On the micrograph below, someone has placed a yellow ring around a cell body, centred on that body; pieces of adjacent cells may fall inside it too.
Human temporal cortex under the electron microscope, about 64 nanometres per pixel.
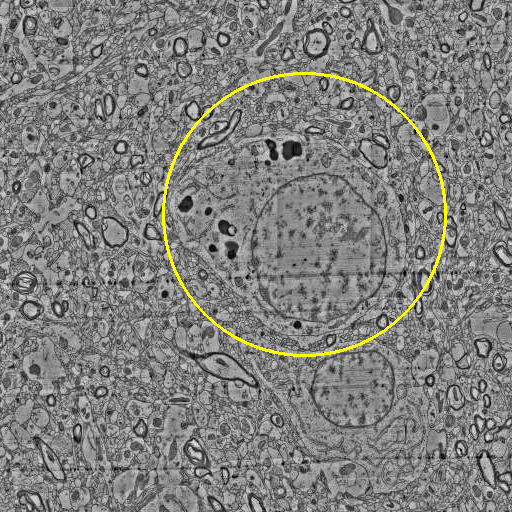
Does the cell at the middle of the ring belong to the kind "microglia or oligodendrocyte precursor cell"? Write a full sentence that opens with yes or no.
No, the micrograph shows another kind of cell at the ring's centre.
